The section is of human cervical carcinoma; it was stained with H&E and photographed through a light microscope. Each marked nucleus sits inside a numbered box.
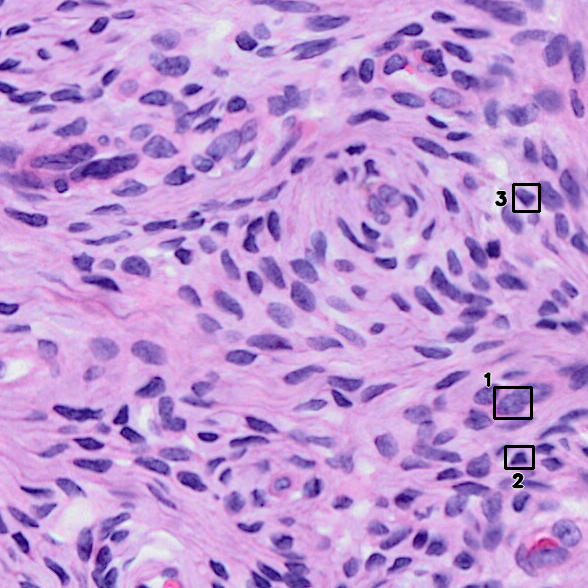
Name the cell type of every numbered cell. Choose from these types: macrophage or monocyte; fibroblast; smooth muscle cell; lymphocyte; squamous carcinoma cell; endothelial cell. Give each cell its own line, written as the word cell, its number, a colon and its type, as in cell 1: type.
cell 1: endothelial cell
cell 2: fibroblast
cell 3: fibroblast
